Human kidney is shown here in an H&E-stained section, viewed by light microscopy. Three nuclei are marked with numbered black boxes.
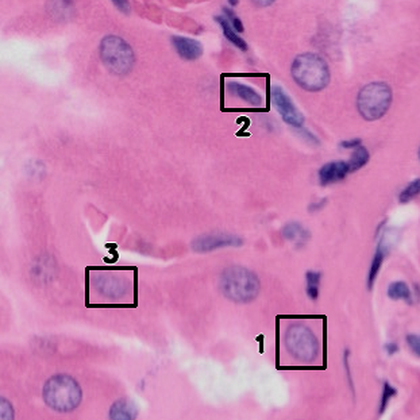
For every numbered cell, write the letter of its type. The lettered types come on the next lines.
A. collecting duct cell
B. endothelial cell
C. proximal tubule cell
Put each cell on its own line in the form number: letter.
1: C
2: B
3: C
